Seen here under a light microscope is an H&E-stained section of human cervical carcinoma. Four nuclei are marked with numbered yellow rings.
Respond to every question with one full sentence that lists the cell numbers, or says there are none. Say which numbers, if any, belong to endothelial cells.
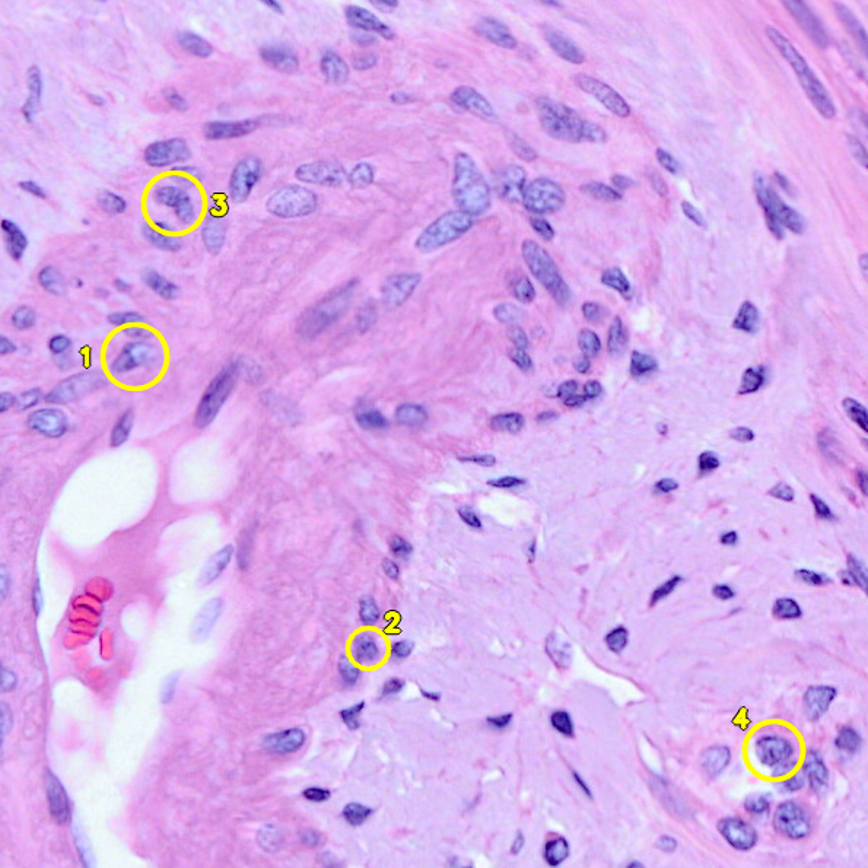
Cell 4 is an endothelial cell, which is true of none of the other numbered cells.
